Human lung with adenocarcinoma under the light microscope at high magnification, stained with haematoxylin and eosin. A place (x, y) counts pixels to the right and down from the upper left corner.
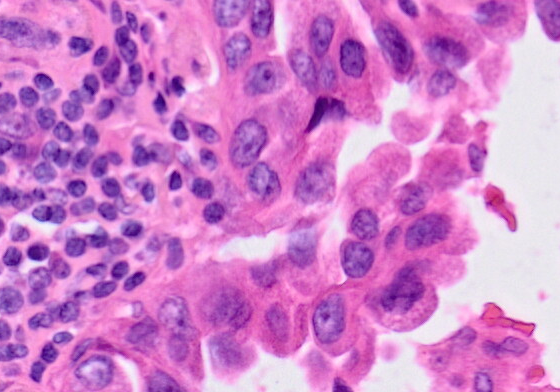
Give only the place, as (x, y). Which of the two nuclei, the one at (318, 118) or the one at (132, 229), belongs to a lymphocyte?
(132, 229)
